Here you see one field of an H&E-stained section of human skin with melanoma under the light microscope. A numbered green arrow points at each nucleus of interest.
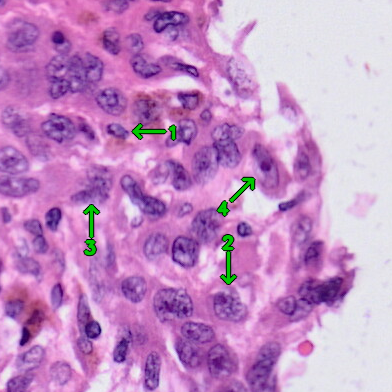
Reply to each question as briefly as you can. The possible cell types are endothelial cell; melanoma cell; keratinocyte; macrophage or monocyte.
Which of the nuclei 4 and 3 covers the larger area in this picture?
4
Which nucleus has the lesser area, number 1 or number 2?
1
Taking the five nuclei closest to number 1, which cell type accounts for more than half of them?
melanoma cell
